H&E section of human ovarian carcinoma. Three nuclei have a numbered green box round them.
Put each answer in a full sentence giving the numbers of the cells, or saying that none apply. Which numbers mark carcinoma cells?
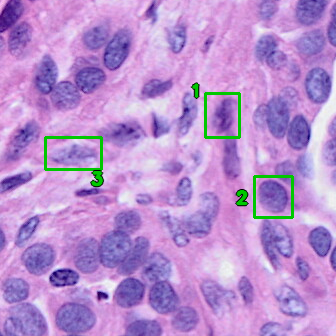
Across all the numbered cells, only number 2 is a carcinoma cell.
